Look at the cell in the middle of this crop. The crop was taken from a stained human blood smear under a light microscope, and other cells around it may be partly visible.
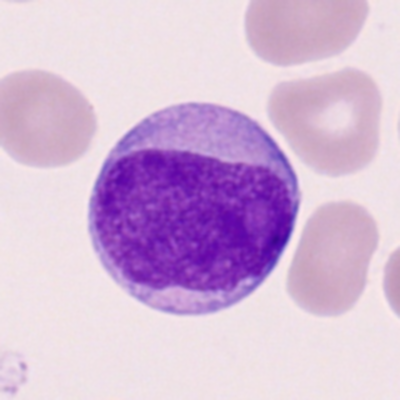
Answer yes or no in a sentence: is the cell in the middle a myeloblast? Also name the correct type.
Yes, in the middle of the crop is a myeloblast.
